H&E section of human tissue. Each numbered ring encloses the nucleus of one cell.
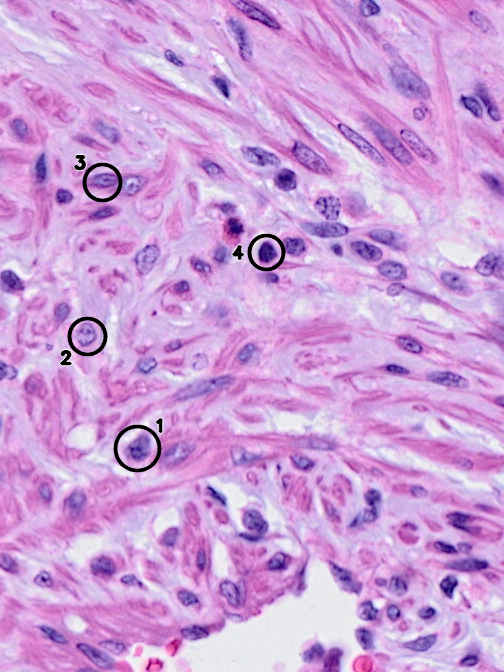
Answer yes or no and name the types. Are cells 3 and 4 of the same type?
No, cell 3 is to be identified as a smooth muscle cell and cell 4 as a lymphocyte.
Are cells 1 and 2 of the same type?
Yes, cells 1 and 2 are both classed as macrophages or monocytes.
